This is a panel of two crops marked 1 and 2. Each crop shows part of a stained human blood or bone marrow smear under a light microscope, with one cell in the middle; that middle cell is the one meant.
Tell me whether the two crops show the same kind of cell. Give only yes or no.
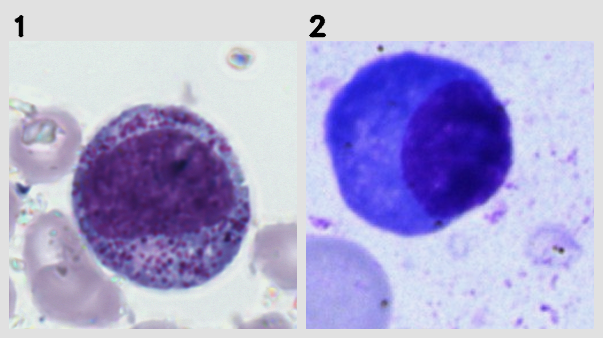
no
